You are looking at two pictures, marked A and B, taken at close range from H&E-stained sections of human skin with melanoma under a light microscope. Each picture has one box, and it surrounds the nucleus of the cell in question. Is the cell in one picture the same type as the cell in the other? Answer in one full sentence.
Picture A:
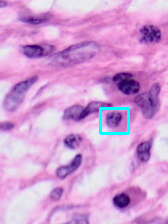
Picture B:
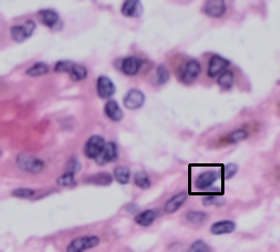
No. Picture A shows a plasma cell, but picture B shows a lymphocyte.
